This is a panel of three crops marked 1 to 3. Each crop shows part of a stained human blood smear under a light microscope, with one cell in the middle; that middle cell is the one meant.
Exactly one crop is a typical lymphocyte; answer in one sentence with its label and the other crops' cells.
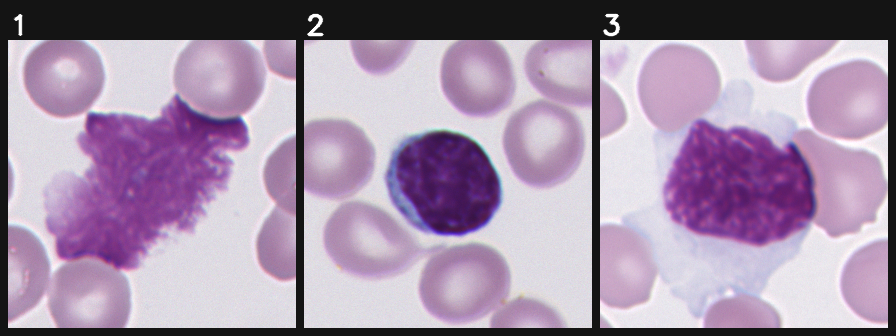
Identified in crop 2 is a typical lymphocyte, whereas crop 1 is a smudge cell and crop 3 is a hairy cell.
